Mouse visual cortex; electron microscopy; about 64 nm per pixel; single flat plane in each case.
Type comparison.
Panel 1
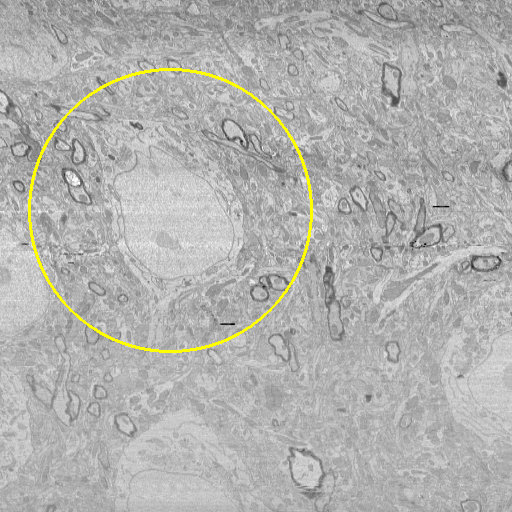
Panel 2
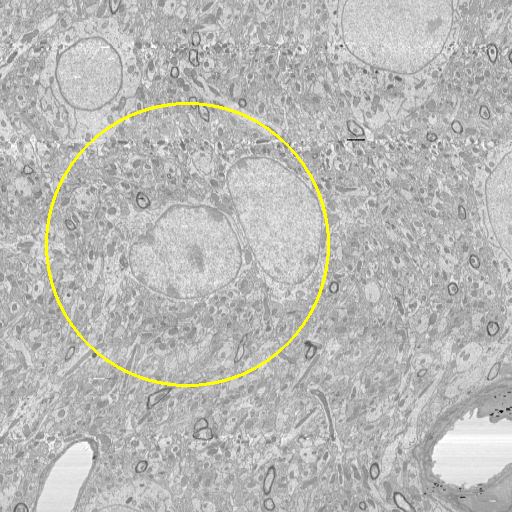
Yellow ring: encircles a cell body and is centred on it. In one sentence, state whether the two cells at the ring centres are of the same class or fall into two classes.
In these panels, the two cells at the ring centres fall into two classes.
